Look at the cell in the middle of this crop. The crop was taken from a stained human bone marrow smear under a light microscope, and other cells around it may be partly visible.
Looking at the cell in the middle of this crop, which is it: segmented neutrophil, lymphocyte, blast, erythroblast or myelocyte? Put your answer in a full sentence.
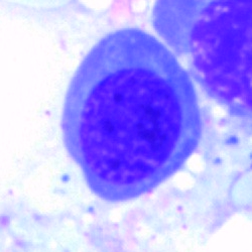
The target cell in the middle of the crop is an erythroblast.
